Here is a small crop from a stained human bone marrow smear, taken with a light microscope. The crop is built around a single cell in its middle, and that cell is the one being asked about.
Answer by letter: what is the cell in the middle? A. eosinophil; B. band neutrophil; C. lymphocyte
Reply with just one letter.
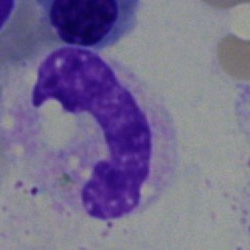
B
